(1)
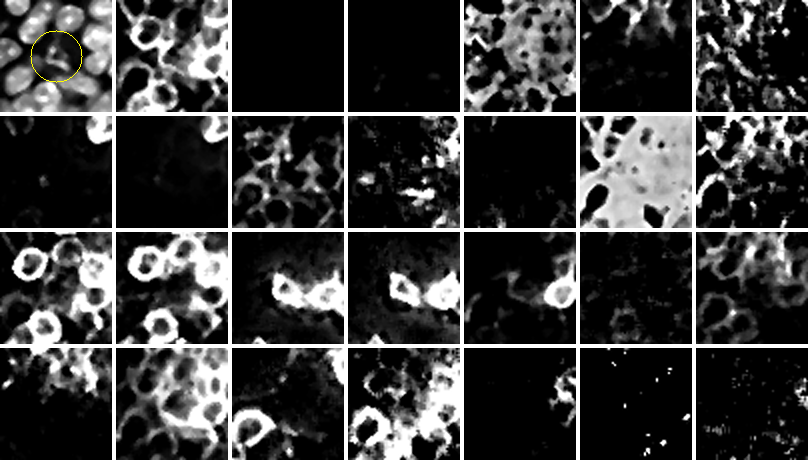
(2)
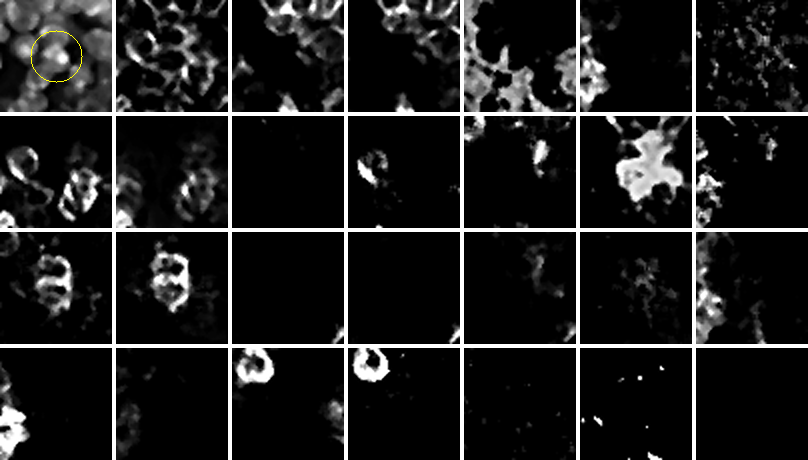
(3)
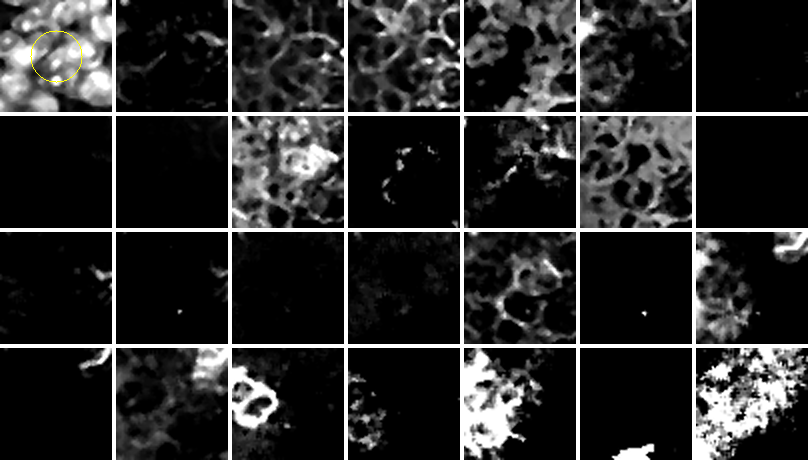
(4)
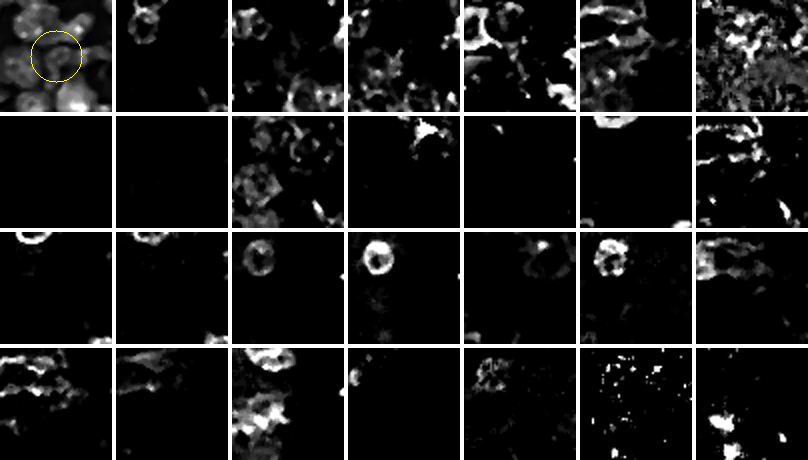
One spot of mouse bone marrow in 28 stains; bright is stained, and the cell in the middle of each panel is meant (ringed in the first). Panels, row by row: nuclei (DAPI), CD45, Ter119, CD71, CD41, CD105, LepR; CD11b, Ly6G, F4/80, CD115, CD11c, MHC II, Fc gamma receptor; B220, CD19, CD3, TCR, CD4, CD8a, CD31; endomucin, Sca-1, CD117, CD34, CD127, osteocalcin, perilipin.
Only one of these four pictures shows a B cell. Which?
Picture 2.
